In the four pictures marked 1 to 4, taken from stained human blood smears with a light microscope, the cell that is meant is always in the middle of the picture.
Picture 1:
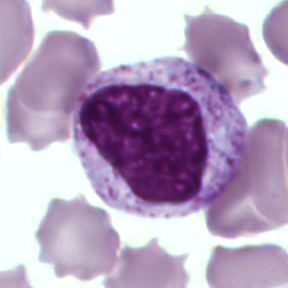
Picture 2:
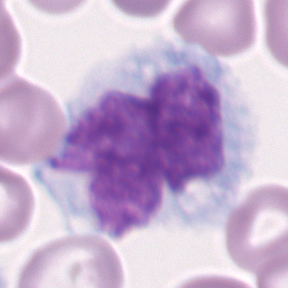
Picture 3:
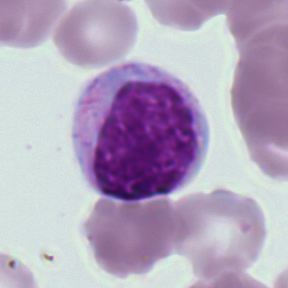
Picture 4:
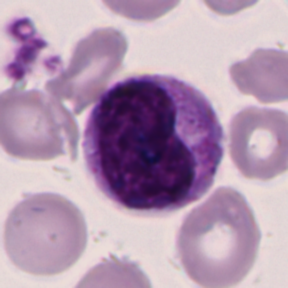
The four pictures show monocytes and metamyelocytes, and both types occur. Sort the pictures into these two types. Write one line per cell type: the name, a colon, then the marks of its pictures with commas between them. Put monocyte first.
monocyte: 2
metamyelocyte: 1, 3, 4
